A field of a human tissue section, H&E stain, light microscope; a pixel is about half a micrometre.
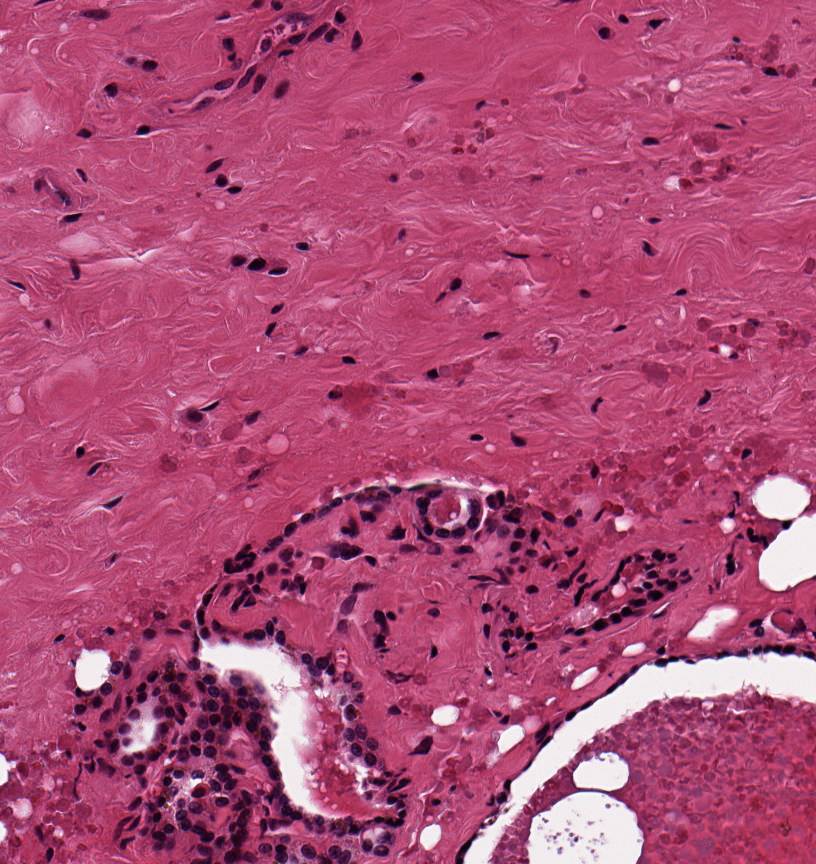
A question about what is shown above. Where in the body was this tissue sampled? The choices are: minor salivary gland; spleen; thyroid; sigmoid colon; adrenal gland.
thyroid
